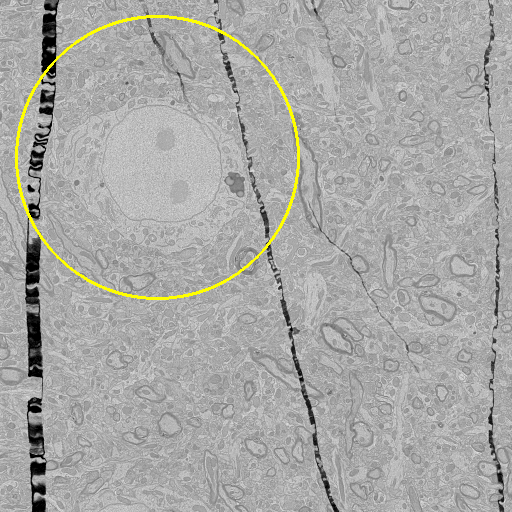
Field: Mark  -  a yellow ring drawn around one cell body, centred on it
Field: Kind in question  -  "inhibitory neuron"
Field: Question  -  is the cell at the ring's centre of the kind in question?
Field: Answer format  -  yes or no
no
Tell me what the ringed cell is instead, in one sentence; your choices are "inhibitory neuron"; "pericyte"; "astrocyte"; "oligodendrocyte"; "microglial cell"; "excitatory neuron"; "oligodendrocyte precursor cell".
Instead, the cell at the centre of the yellow ring is an excitatory neuron.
